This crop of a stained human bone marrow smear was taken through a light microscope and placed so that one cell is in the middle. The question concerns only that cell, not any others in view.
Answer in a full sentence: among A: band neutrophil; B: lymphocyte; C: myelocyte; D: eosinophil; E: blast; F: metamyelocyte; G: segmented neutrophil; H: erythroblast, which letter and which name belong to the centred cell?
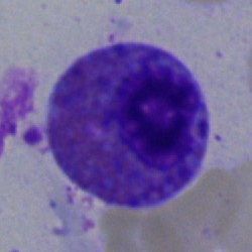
Option D gives the correct identity of the central cell, namely an eosinophil.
